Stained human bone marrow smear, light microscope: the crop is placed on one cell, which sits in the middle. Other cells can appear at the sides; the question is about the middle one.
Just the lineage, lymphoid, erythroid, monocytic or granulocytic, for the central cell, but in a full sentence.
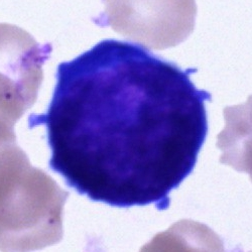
In the crop, the cell at the center is of erythroid lineage.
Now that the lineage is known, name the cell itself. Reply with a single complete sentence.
The centrally positioned cell in the crop represents a proerythroblast.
